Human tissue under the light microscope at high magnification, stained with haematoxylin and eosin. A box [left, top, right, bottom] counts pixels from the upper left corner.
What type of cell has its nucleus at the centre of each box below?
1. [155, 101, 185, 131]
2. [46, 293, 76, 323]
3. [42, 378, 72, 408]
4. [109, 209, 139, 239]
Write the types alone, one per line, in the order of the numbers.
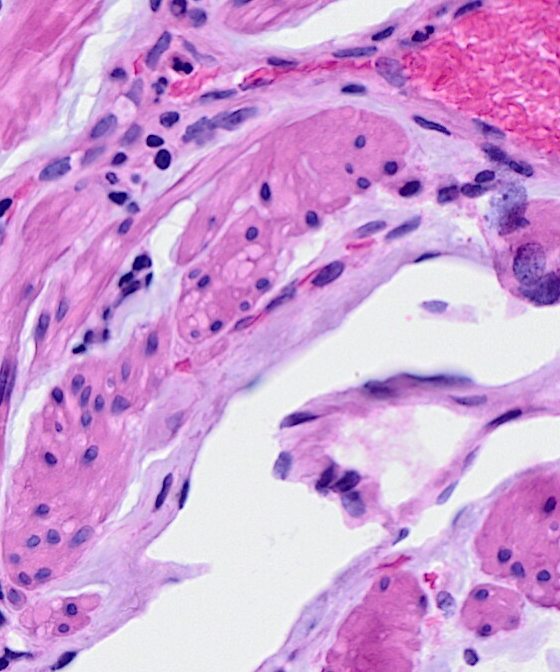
lymphocyte
smooth muscle cell
smooth muscle cell
smooth muscle cell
